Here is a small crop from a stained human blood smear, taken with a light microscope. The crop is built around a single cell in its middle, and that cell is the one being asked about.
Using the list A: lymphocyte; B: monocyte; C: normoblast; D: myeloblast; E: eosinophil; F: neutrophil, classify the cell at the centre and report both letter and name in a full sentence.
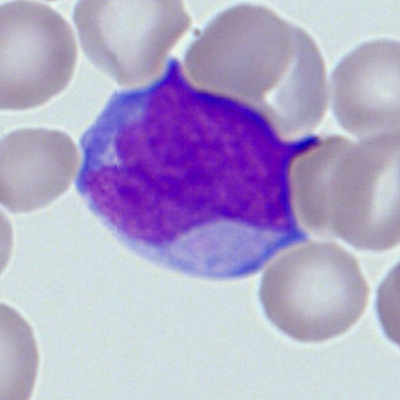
Located in the middle of the crop is a myeloblast, and option D is therefore correct.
